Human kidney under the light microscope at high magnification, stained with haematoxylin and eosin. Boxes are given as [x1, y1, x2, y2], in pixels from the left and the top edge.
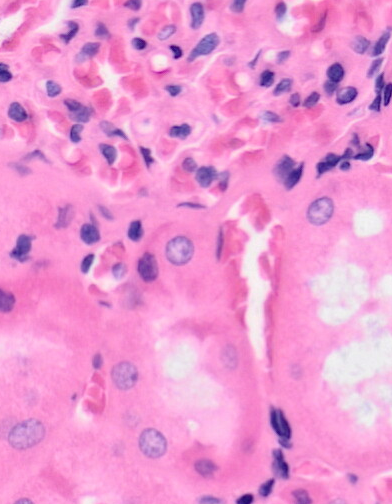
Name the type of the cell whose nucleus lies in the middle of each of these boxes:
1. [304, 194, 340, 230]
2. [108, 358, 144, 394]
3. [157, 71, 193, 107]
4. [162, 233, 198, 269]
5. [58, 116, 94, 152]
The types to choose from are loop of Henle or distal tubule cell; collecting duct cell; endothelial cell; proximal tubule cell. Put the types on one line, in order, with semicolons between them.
proximal tubule cell; proximal tubule cell; endothelial cell; proximal tubule cell; endothelial cell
